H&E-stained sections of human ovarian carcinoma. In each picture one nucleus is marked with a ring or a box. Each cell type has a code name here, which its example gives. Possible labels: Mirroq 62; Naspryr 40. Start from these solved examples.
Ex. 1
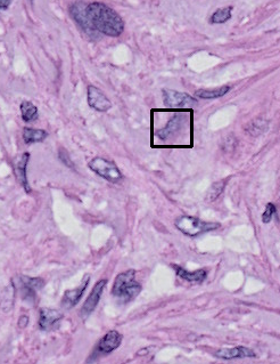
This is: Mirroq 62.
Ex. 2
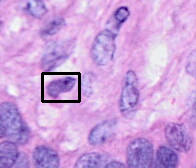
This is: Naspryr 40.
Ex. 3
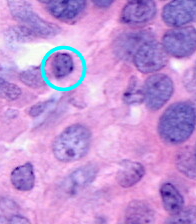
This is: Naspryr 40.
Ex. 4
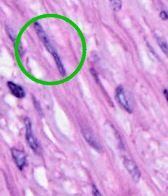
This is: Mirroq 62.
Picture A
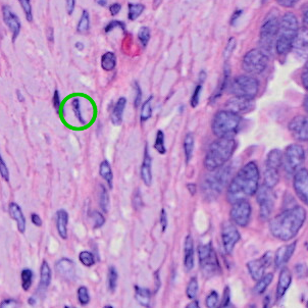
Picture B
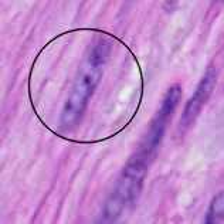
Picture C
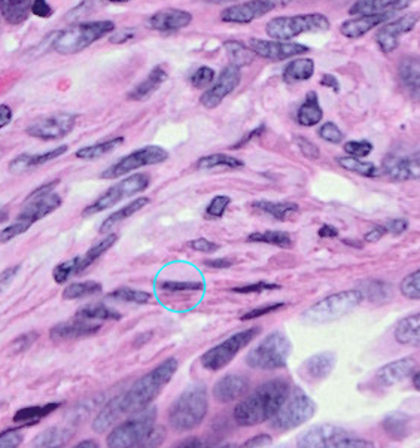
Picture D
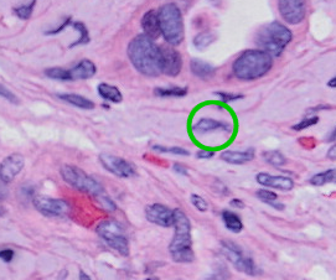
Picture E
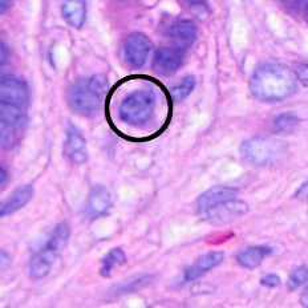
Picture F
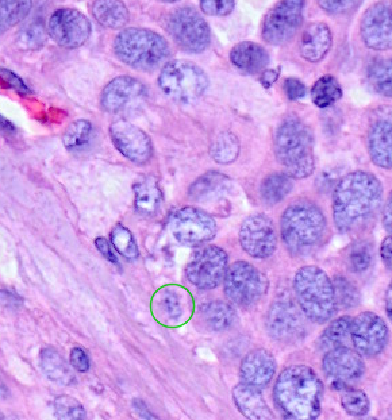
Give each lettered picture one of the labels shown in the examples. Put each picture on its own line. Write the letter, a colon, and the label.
A: Mirroq 62.
B: Mirroq 62.
C: Mirroq 62.
D: Mirroq 62.
E: Naspryr 40.
F: Naspryr 40.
